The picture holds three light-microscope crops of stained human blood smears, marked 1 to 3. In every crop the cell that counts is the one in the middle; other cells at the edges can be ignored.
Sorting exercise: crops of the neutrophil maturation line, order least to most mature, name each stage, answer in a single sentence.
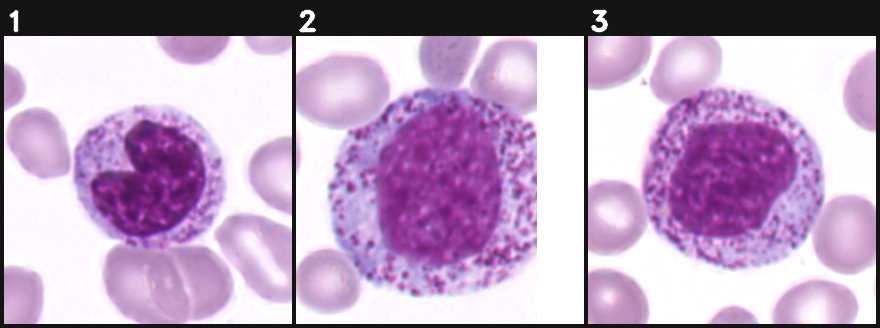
The stages, ordered from least to most mature, are crop 2 (a promyelocyte), crop 3 (a myelocyte) and crop 1 (a band neutrophil).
